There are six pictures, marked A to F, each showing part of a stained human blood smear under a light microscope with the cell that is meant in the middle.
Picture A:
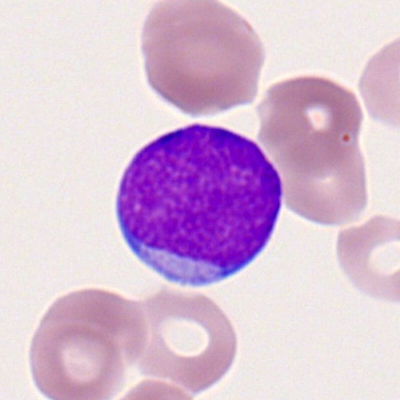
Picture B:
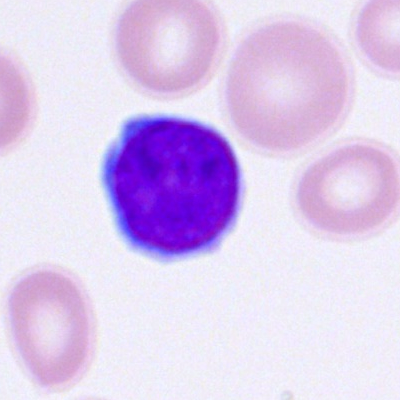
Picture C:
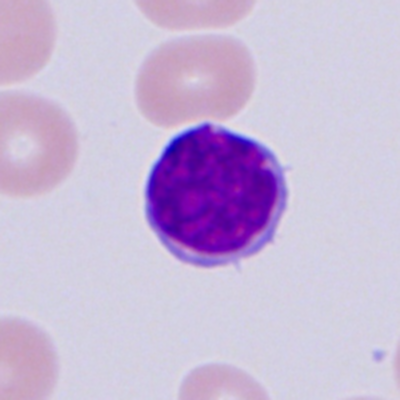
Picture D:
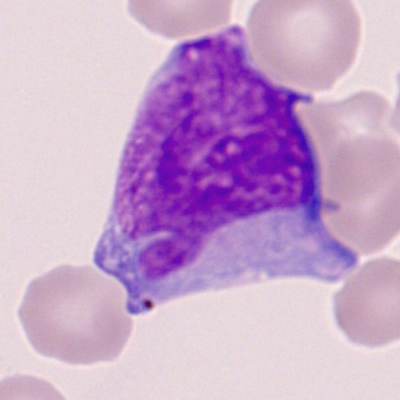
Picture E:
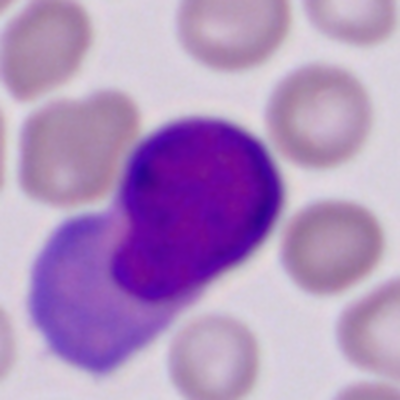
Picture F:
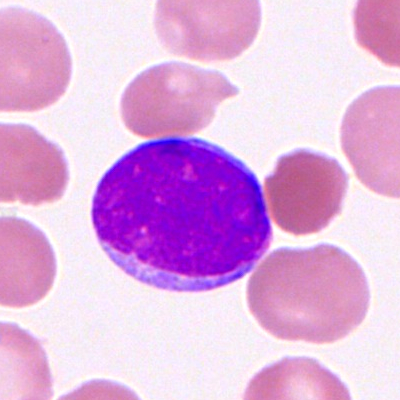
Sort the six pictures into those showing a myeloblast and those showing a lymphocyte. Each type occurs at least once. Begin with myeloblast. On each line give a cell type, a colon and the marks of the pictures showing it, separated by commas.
myeloblast: A, D, E, F
lymphocyte: B, C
